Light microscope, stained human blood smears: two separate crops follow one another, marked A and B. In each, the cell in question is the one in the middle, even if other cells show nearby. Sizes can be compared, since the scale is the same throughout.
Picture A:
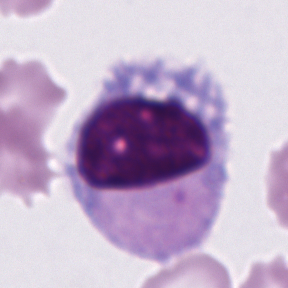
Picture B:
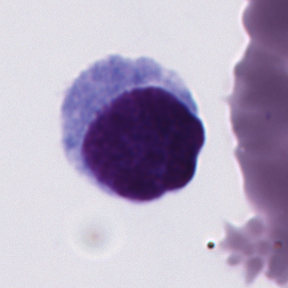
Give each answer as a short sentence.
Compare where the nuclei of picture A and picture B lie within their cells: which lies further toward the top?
It is the nucleus in picture A that lies further toward the top of its cell.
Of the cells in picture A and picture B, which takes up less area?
The cell in picture B is smaller; the one in picture A has about 1.5 times its area.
